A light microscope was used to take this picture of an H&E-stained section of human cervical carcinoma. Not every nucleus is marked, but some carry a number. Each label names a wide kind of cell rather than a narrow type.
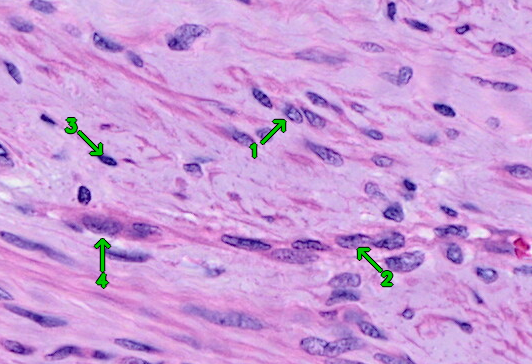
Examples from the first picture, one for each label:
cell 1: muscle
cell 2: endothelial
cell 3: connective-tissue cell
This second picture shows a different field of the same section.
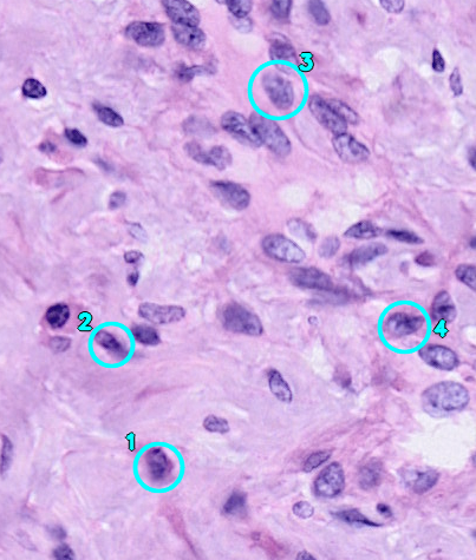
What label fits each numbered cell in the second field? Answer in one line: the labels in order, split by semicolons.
muscle; connective-tissue cell; endothelial; endothelial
